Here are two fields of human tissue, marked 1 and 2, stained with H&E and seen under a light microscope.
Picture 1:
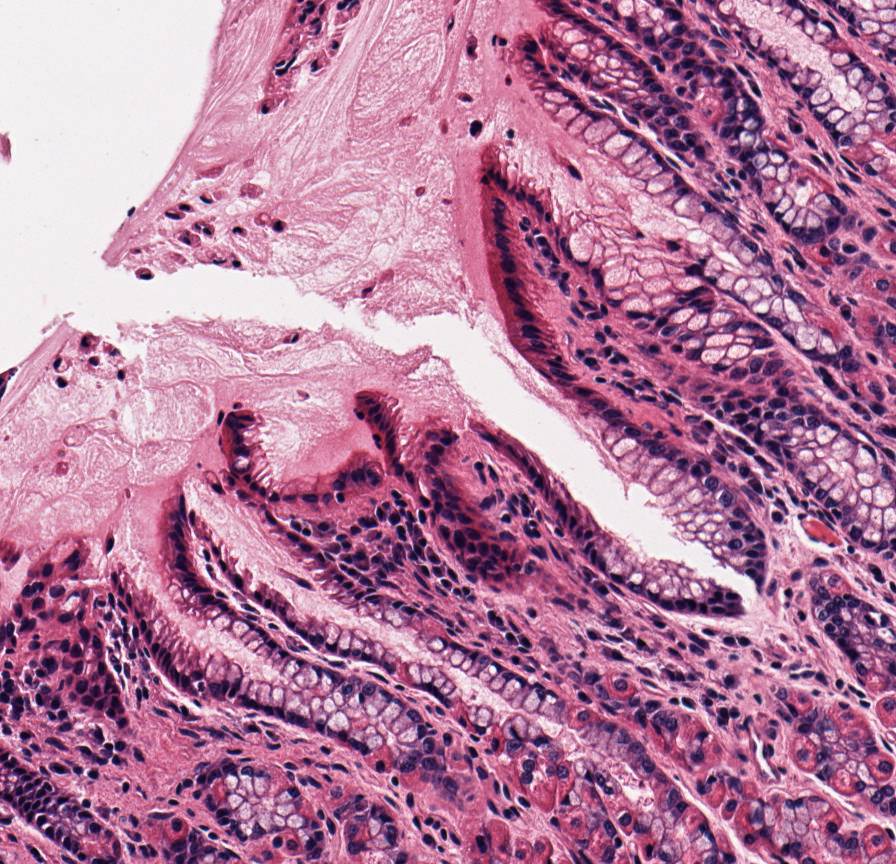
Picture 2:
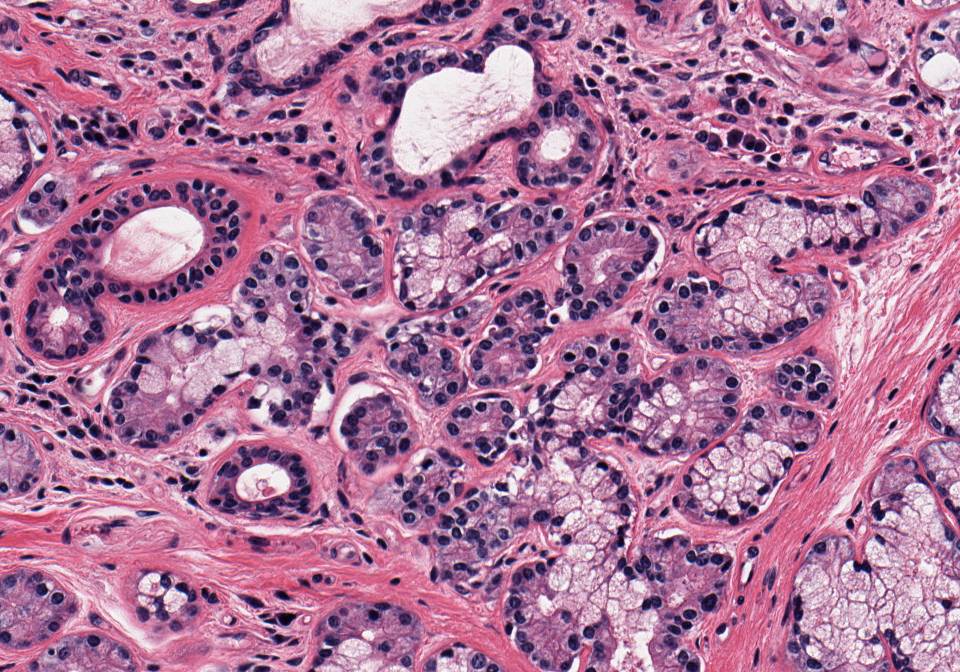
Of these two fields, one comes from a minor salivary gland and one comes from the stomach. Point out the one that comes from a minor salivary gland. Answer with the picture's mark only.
2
